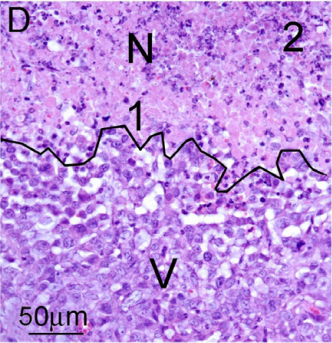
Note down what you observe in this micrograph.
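This shows tumor tissue at the border between a necrotic zone and a viable zone, separated by a wavy line. The lower viable zone is densely cellular with purple nuclei, while the upper necrotic zone is pale pink with few intact nuclei. Further up, the necrotic zone holds scattered small dark granular fragments of nuclear debris.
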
